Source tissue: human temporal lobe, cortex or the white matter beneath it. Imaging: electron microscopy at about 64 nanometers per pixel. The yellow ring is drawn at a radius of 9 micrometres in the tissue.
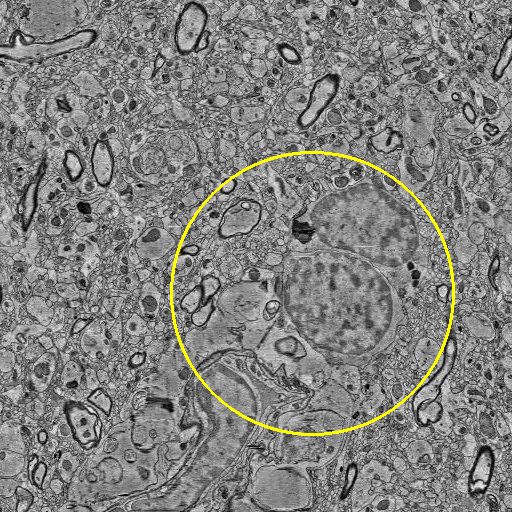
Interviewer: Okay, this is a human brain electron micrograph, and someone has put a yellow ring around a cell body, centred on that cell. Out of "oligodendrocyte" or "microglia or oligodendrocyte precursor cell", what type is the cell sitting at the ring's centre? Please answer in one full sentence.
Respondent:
The cell at the centre of the yellow ring in this picture is an oligodendrocyte.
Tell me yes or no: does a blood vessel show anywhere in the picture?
Yes, there is one.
